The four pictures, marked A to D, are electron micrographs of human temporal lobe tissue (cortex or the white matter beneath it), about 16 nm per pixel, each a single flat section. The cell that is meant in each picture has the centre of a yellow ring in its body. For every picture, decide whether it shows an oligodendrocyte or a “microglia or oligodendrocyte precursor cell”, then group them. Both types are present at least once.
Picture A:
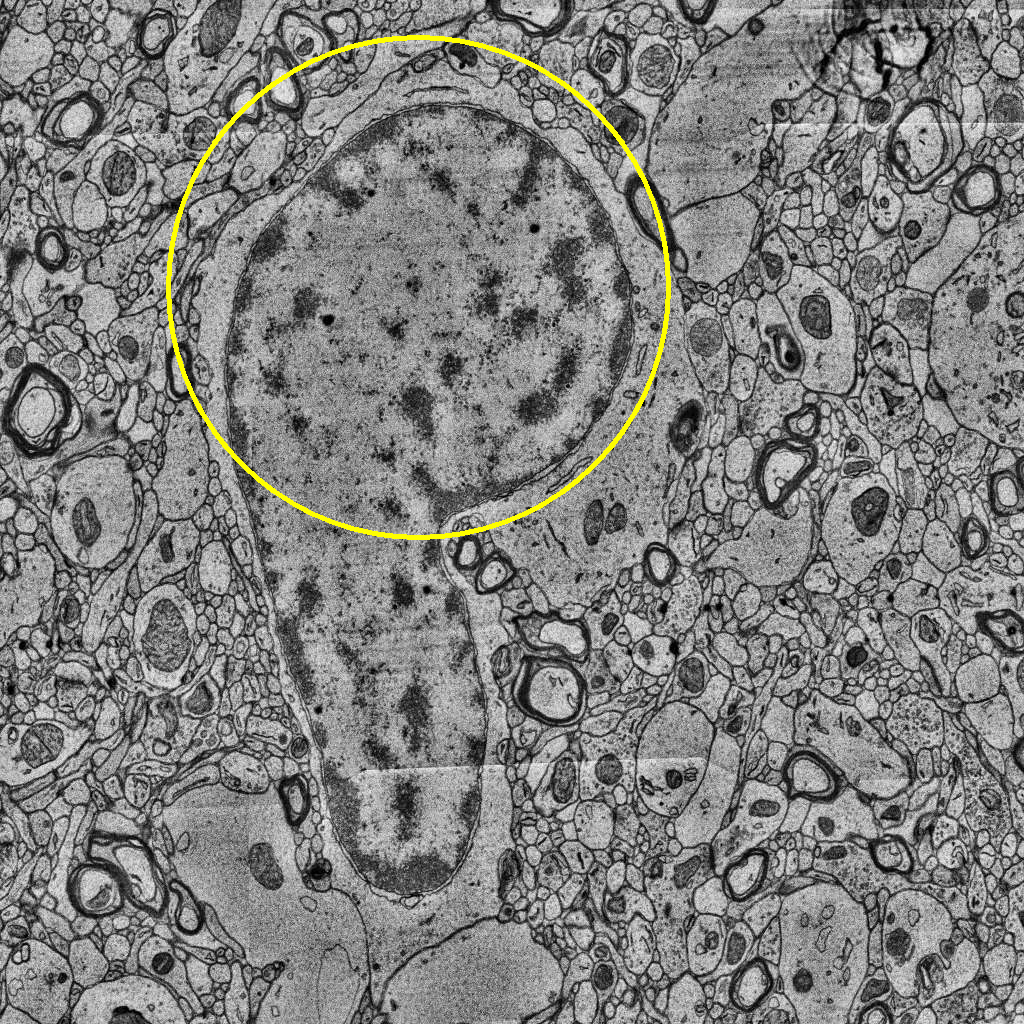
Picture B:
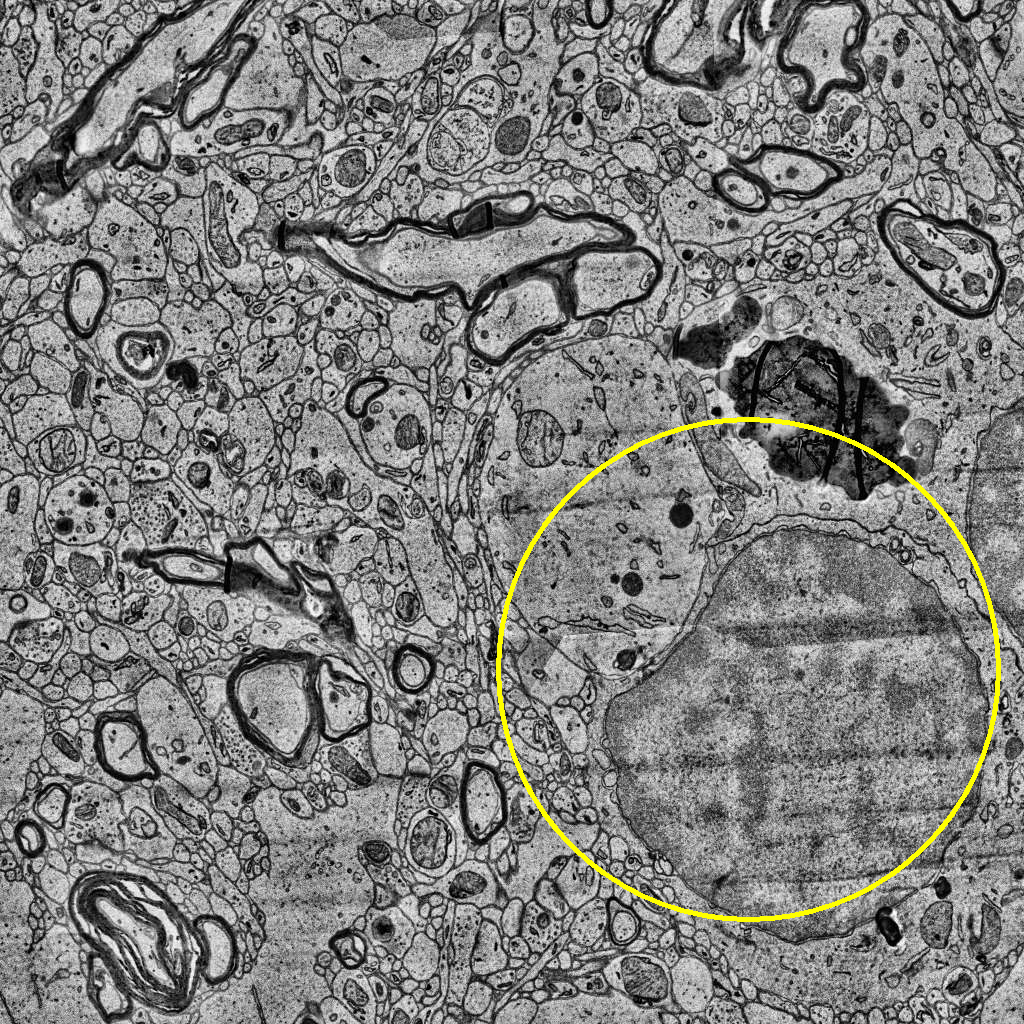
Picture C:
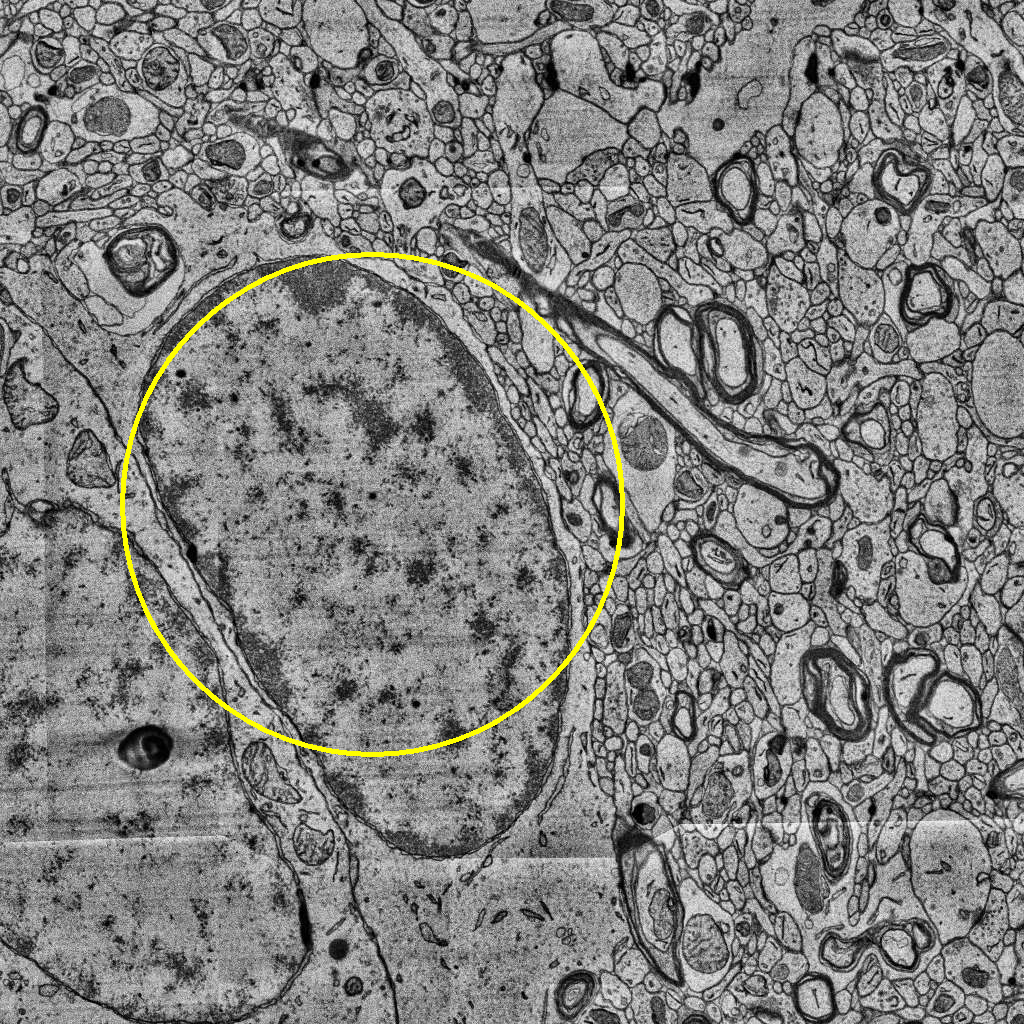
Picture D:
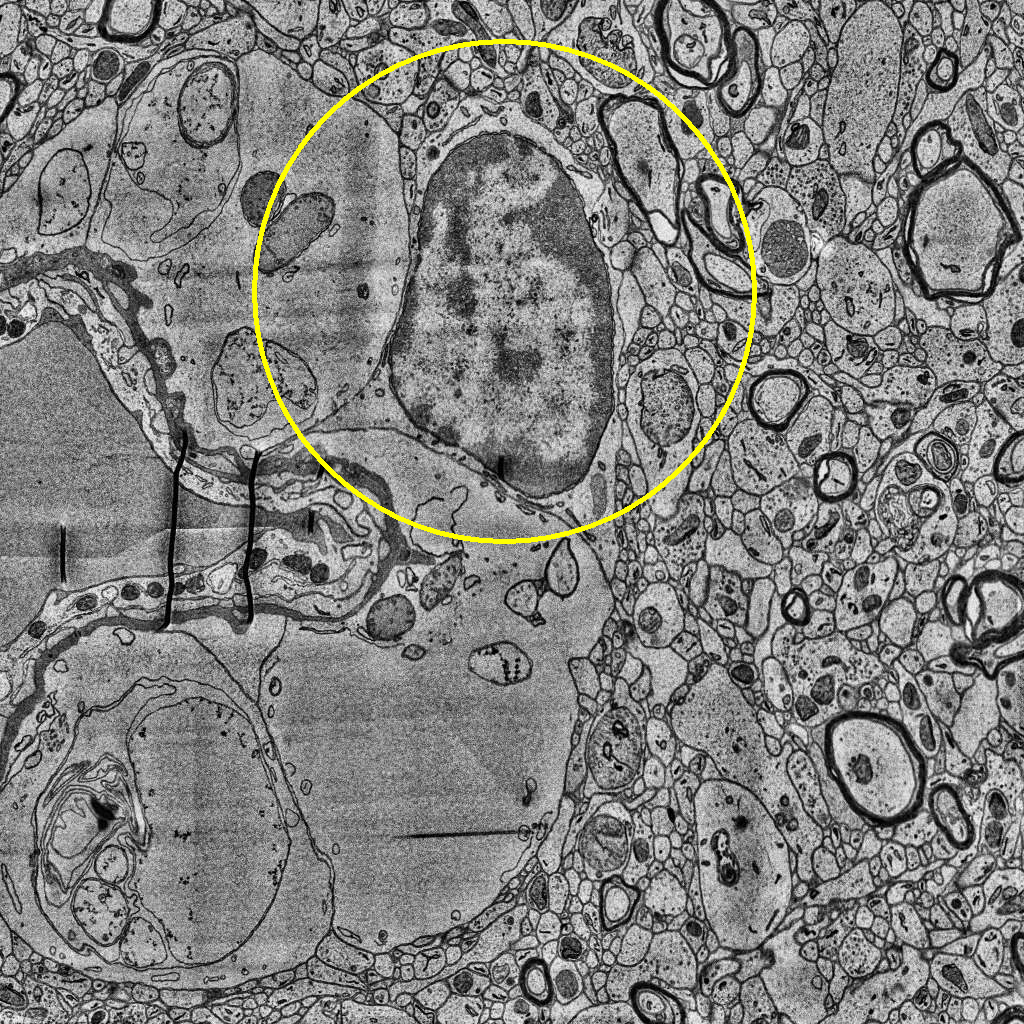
Picture B shows an oligodendrocyte; pictures A, C and D show “microglia or oligodendrocyte precursor cells”.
